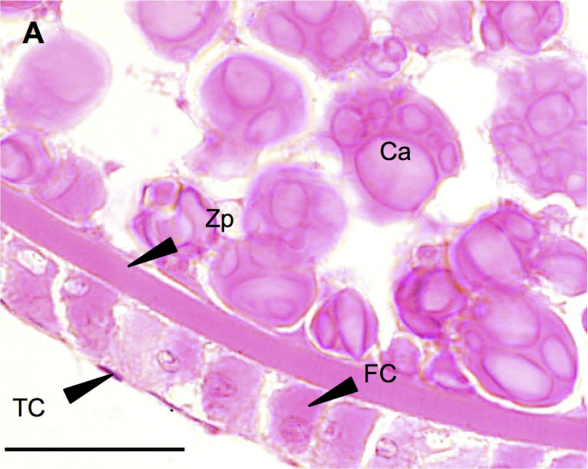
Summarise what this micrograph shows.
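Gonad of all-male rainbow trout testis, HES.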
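Edge of a large growing oocyte within its follicle. The ooplasm is crowded with large rounded pink vesicles, many containing smaller rounded inclusions, separated by pale spaces. A thick, even, homogeneous pink acellular envelope runs along the oocyte surface. Outside it lies a single layer of cuboidal to flattened follicle cells with pale cytoplasm and small nuclei, and beyond them a thin outermost layer of flattened cells. No cell nuclei are seen within the envelope itself.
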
